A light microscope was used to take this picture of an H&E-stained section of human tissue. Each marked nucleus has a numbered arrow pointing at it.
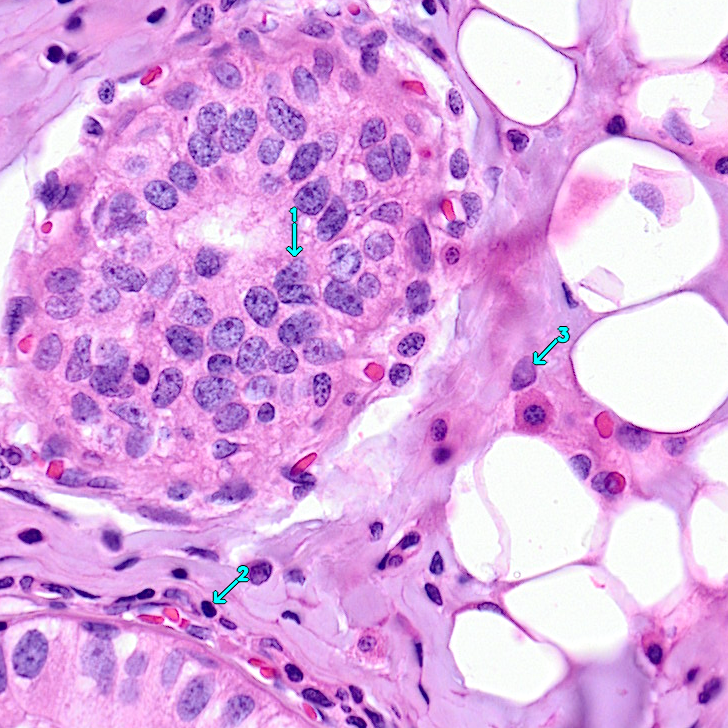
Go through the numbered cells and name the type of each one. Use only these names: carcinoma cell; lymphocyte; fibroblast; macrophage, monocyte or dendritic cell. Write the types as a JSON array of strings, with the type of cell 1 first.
["carcinoma cell", "lymphocyte", "fibroblast"]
